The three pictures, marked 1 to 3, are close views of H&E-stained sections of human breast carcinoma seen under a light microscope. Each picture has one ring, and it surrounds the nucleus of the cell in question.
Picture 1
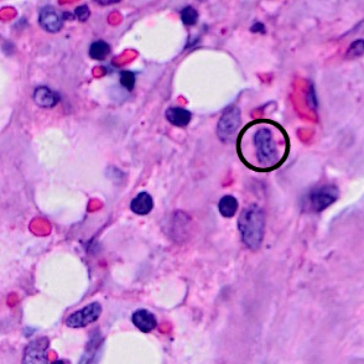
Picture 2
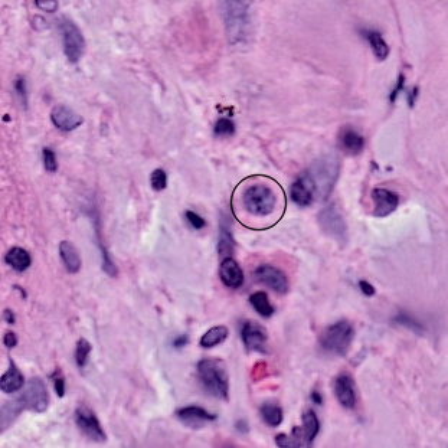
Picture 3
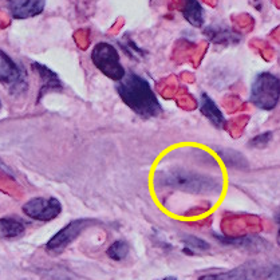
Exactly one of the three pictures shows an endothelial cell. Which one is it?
3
